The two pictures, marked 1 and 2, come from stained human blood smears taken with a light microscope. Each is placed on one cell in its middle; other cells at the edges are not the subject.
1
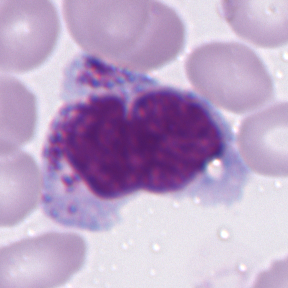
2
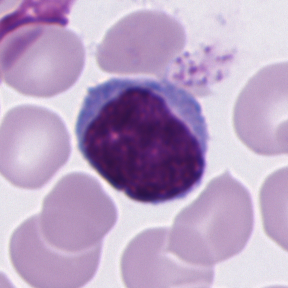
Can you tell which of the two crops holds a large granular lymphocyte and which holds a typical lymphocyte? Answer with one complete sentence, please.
While crop 1 is a large granular lymphocyte, crop 2 is a typical lymphocyte.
